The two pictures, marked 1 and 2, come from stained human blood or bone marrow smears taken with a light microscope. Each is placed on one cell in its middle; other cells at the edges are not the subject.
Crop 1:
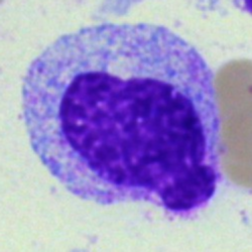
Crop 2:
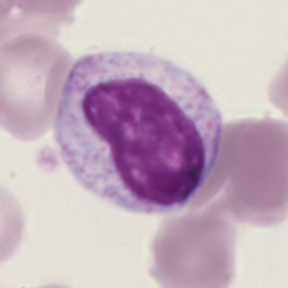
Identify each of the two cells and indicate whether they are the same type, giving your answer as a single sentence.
Yes, the cells at the centre of the two crops are both myelocytes.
